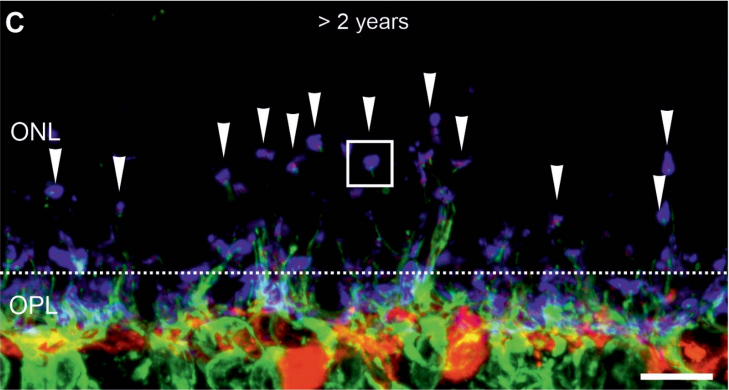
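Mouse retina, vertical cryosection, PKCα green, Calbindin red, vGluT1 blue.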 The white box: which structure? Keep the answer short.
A: Ectopic ribbon synapse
